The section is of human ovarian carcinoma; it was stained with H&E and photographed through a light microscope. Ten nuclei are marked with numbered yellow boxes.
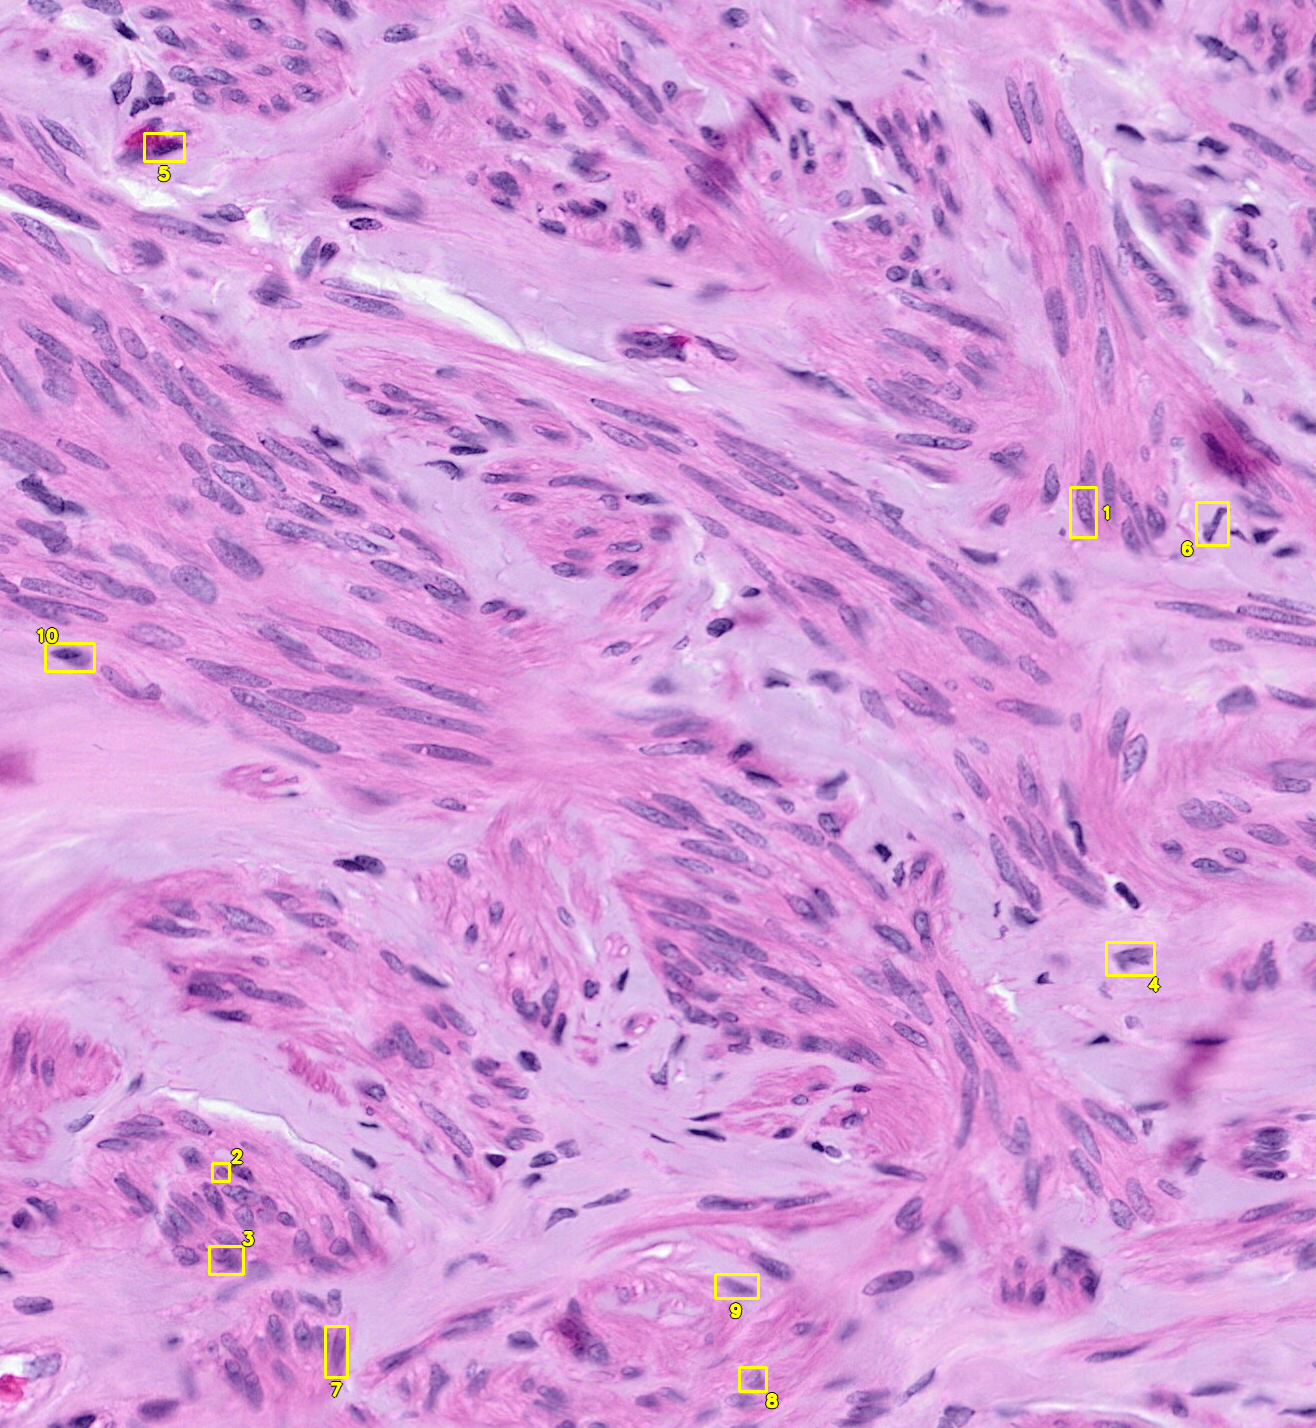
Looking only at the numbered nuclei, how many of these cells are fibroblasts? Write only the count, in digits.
3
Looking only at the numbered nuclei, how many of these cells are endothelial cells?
1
